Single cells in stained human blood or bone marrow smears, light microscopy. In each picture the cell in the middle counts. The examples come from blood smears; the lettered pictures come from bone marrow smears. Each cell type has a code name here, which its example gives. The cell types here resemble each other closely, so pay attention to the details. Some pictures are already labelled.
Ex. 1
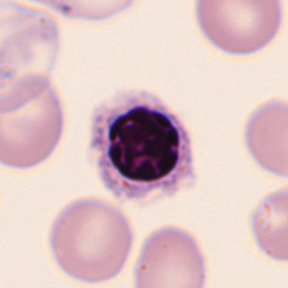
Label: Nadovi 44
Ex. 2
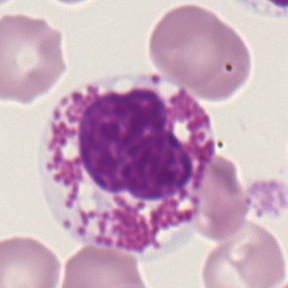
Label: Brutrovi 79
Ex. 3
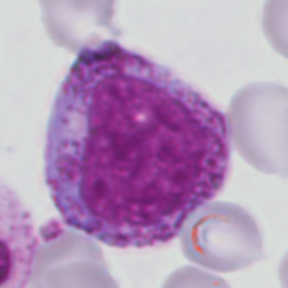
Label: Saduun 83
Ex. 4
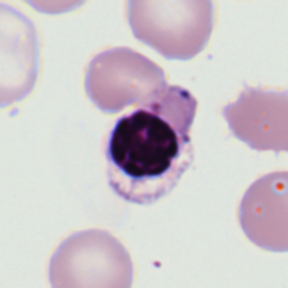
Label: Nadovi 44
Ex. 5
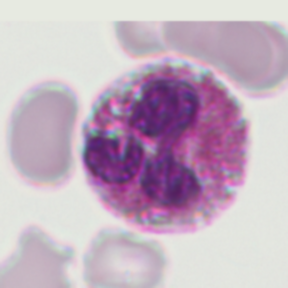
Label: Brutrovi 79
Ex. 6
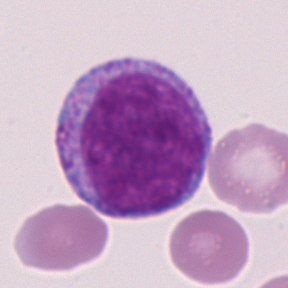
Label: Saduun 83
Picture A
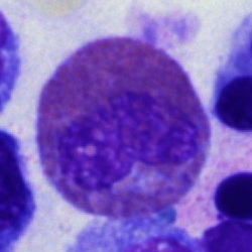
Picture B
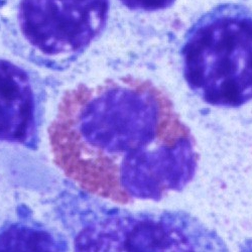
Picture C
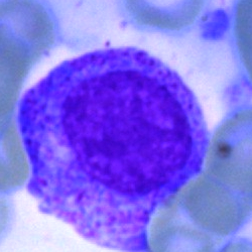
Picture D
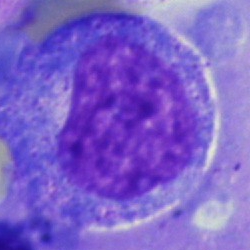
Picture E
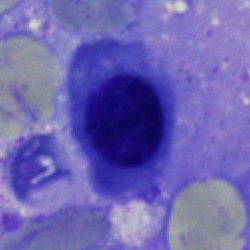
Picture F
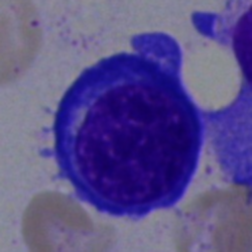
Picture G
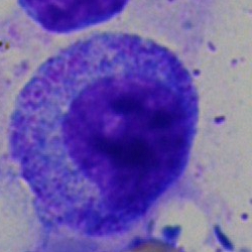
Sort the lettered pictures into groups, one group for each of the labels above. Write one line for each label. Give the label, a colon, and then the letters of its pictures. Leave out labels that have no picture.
Nadovi 44: E, F
Brutrovi 79: A, B
Saduun 83: C, D, G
